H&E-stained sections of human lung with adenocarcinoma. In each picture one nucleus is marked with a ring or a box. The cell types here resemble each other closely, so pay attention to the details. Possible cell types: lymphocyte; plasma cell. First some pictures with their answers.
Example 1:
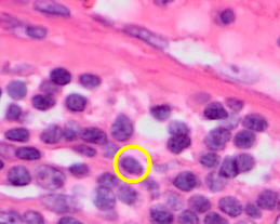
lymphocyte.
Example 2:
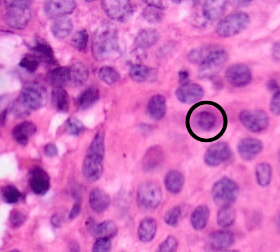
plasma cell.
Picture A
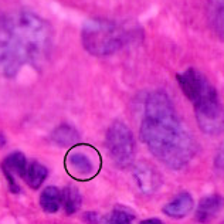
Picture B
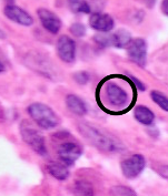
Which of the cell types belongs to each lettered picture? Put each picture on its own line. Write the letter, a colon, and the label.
A: lymphocyte.
B: plasma cell.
